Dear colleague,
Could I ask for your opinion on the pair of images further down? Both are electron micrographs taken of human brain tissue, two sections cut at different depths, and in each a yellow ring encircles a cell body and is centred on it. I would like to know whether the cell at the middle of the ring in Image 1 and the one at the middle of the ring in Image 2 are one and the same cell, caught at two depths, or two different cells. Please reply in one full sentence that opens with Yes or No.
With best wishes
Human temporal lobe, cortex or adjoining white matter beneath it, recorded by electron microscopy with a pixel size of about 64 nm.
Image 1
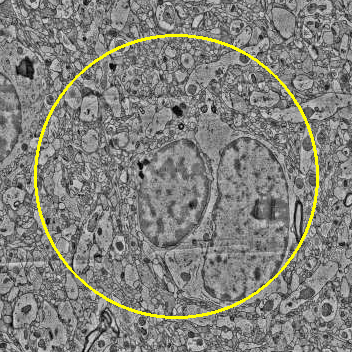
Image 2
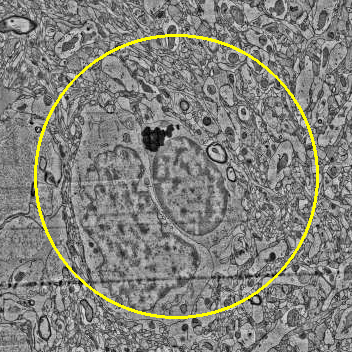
No, the two rings are not on the same cell.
